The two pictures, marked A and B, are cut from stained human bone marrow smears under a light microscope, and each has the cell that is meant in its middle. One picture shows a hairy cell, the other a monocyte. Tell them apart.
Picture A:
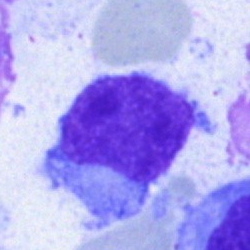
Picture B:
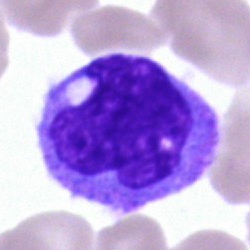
A: hairy cell
B: monocyte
